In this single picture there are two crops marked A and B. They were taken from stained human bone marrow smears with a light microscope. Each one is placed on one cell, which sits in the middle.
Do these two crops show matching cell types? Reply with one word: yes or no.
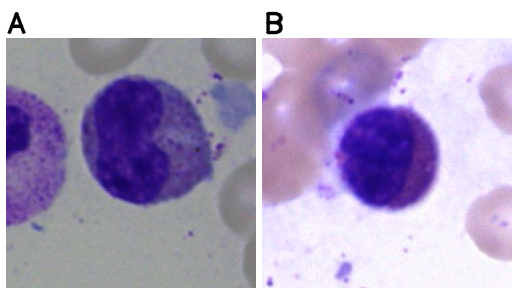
yes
